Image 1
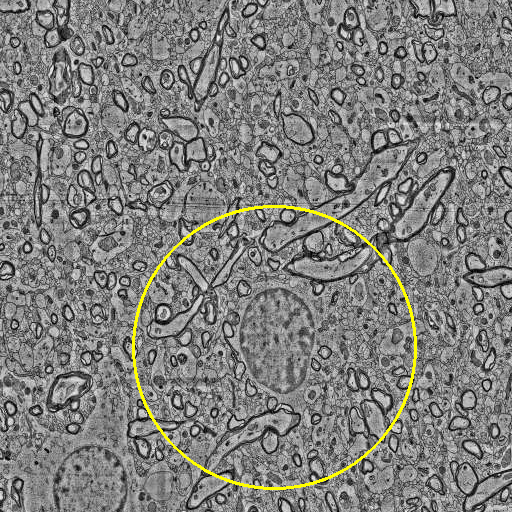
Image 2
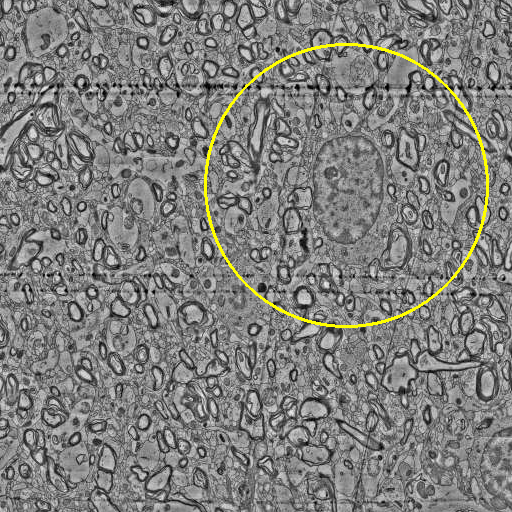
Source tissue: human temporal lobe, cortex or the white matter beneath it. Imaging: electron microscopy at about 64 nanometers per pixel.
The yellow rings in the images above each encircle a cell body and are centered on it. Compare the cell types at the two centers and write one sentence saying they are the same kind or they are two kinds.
Taken together, the two cells at the ring centers are the same kind.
